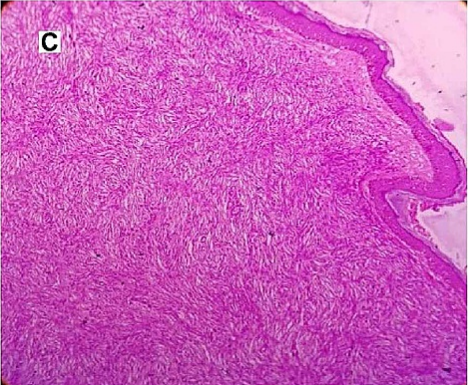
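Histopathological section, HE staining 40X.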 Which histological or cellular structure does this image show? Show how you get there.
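Densely packed elongated cells run in short interlacing, whorled bundles. The cellular sheet fills most of the panel without glands or lobules.
Storiform pattern.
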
